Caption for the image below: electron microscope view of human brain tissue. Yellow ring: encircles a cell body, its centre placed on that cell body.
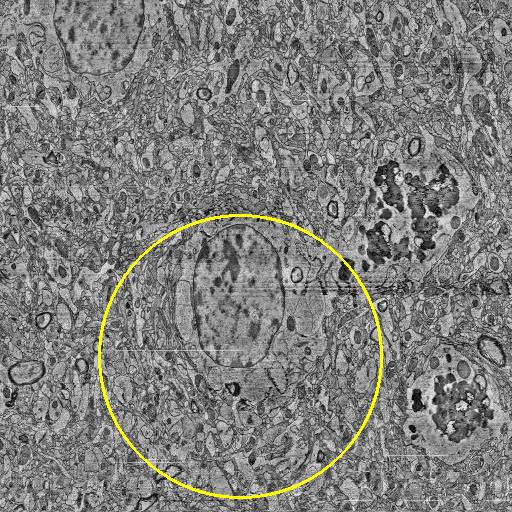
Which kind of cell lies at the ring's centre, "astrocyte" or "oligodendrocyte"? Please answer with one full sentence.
The picture shows an astrocyte at the centre of the yellow ring.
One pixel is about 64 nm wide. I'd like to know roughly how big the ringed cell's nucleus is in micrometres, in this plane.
Roughly 9 micrometres by 6 micrometres, so the nucleus is clearly longer than it is wide in this plane.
